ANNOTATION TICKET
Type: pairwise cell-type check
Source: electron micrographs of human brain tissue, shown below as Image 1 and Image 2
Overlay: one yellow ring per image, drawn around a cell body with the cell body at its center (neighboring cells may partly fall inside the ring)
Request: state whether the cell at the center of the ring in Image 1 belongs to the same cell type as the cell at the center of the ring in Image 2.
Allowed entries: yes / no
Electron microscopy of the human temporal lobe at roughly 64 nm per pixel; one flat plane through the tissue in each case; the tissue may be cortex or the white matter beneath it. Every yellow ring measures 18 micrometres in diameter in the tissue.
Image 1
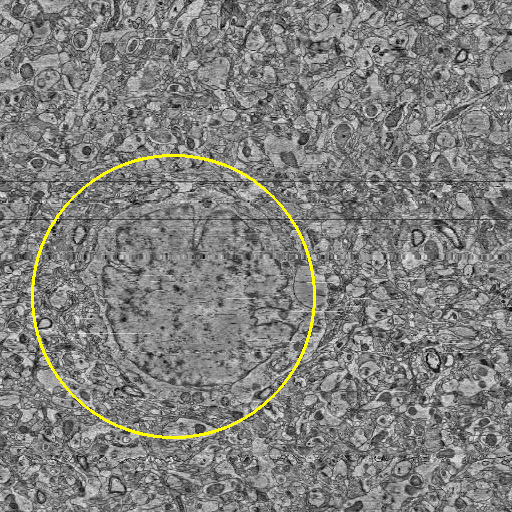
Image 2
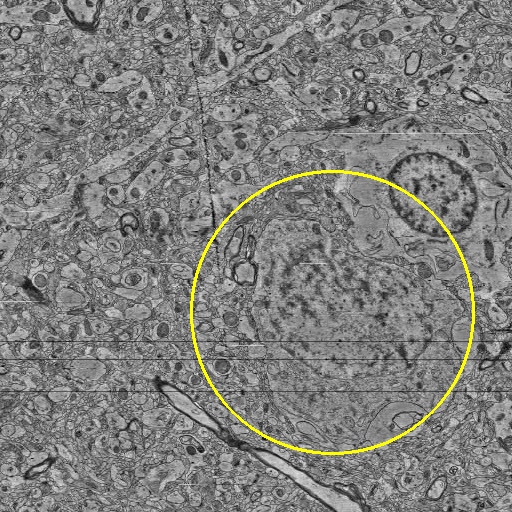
yes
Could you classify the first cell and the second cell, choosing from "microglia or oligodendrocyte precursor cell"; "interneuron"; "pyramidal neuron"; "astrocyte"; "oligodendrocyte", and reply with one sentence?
Each one of the two ringed cells is an interneuron.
